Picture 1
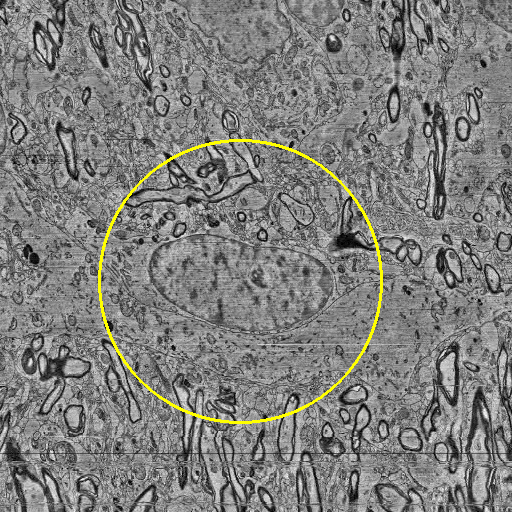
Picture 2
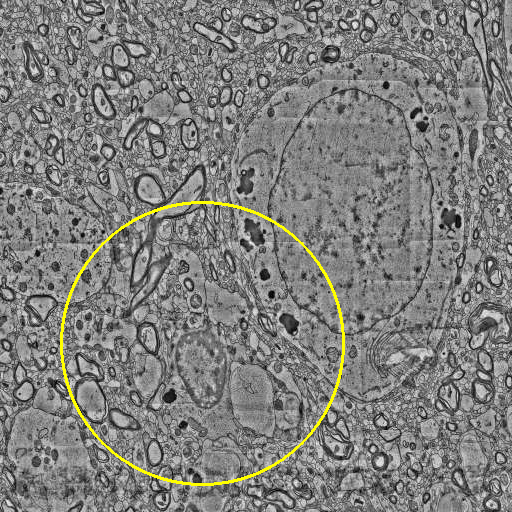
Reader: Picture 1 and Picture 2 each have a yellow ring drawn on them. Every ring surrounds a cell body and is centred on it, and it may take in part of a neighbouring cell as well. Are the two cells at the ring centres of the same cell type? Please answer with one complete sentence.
No, the cells are of two cell types.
